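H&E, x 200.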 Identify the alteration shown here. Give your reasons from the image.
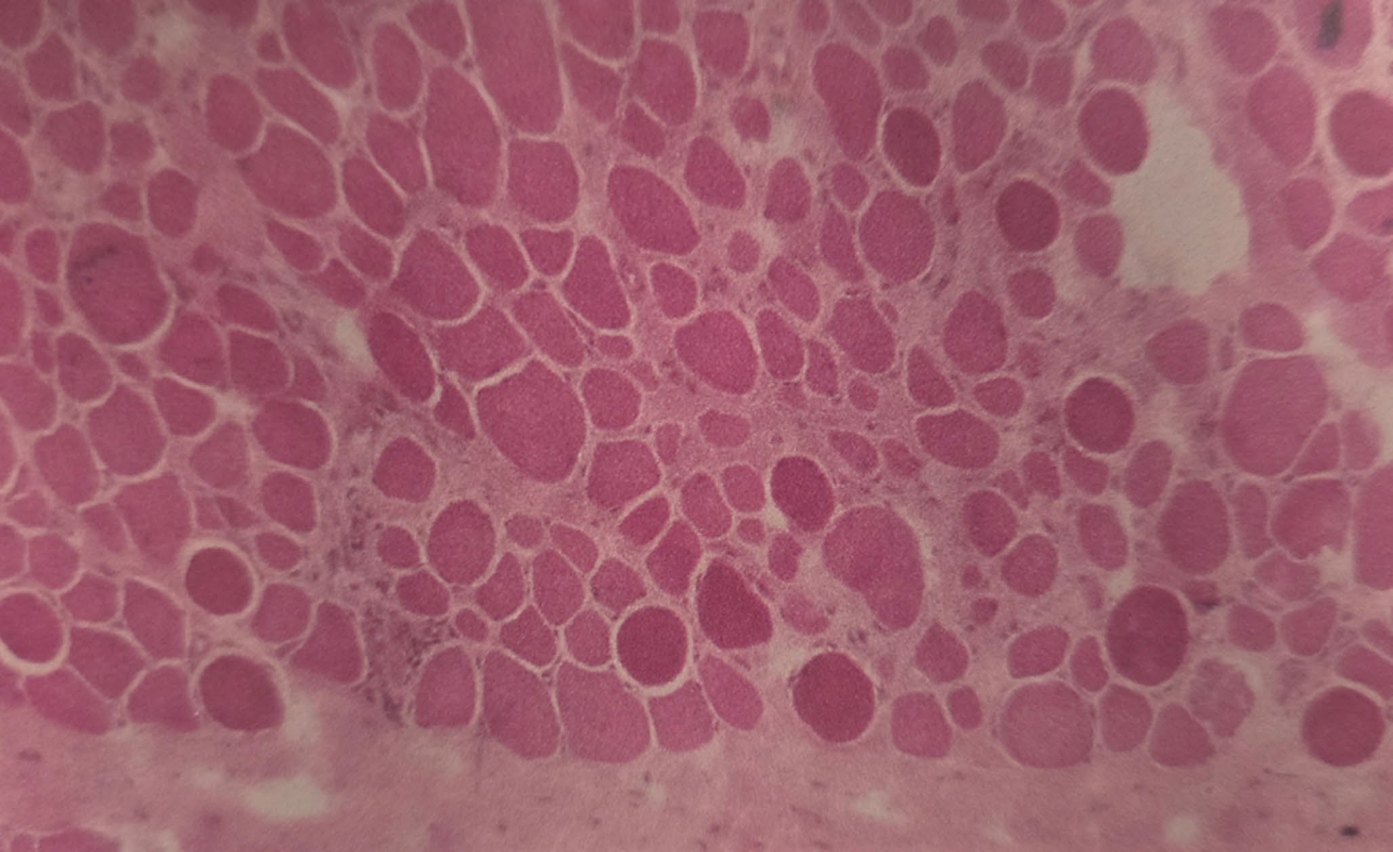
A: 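Wide variation in the size of muscle fibres. Small round profiles lie directly beside profiles several times larger. Fibre diameters differ markedly across the whole field.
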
